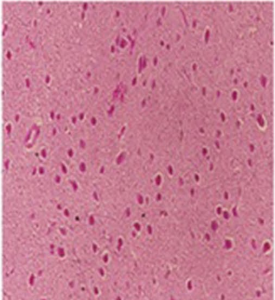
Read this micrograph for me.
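Brain tissue stained pink, with small oval to elongated, darker purple-pink nuclei scattered fairly evenly through a finely granular, pale pink neuropil. Some nuclei sit within small clear halos, and the matrix between them is faintly stippled with tiny pale spaces.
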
